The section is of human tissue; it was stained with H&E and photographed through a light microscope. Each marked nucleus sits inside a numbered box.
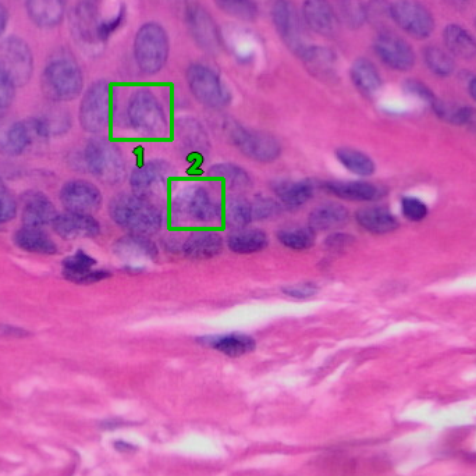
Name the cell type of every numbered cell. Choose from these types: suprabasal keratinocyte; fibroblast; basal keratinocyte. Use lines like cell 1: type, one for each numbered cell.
cell 1: suprabasal keratinocyte
cell 2: basal keratinocyte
